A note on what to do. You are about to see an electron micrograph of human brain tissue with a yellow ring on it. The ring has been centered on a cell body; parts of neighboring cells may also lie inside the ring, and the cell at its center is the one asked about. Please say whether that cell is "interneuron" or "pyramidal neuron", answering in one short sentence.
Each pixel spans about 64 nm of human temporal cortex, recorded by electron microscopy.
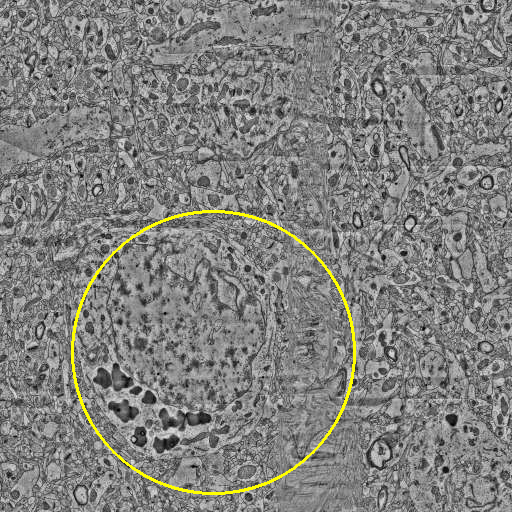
The yellow ring sits on an interneuron.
